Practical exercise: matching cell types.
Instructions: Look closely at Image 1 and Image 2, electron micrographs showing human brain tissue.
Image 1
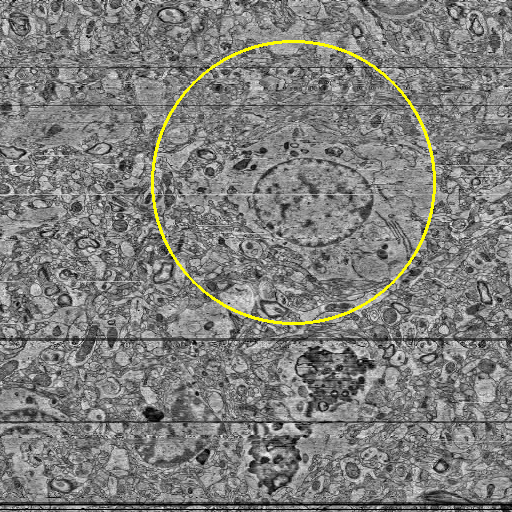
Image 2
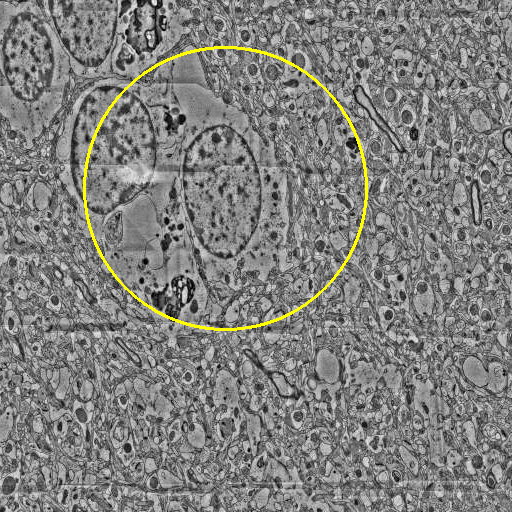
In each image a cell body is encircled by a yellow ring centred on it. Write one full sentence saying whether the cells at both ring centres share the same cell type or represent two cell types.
Across Image 1 and Image 2, the cells at the ring centres share the same cell type.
